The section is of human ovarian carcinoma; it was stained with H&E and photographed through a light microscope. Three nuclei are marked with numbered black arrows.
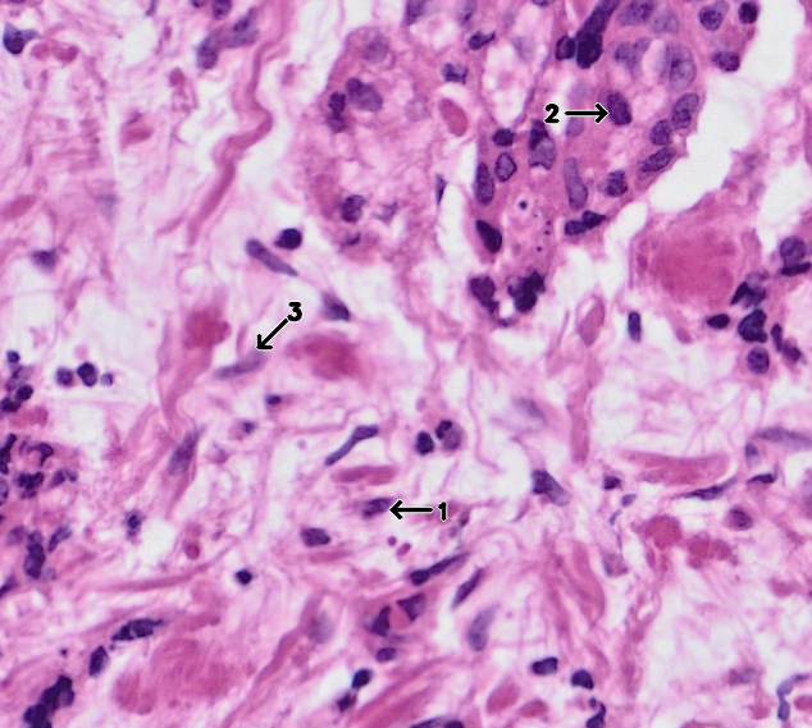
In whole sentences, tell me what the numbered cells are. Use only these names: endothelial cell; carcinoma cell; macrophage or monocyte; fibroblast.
Cells 1 and 3 are fibroblasts. Cell 2 is a carcinoma cell.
